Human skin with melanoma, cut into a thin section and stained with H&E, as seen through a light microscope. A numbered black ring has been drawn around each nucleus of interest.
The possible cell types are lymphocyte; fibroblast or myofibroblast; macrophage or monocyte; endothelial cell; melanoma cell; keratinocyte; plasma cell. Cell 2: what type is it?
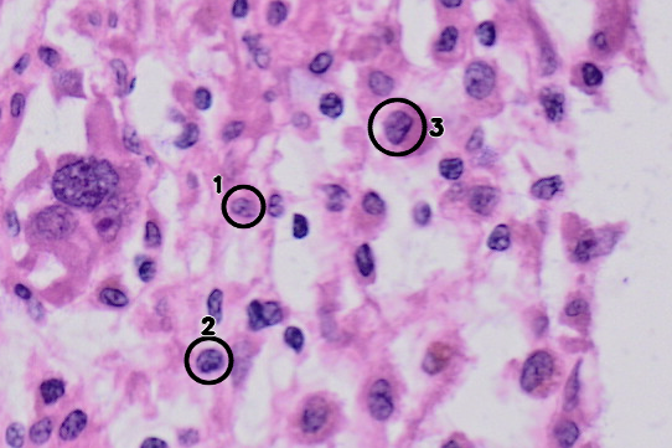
lymphocyte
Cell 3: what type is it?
macrophage or monocyte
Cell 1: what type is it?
macrophage or monocyte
